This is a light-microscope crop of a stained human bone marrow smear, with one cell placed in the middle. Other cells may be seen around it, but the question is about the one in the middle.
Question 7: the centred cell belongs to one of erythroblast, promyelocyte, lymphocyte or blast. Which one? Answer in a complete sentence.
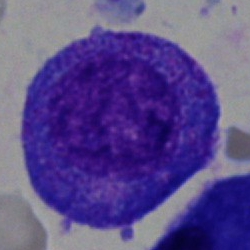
The cell positioned in the middle of the field is a promyelocyte.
